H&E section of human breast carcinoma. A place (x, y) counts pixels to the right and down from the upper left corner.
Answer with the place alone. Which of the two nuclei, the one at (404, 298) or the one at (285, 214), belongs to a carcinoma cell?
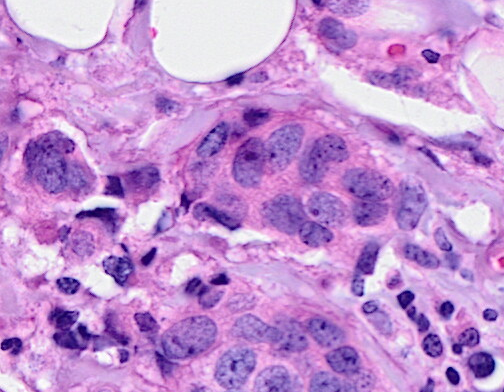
(285, 214)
